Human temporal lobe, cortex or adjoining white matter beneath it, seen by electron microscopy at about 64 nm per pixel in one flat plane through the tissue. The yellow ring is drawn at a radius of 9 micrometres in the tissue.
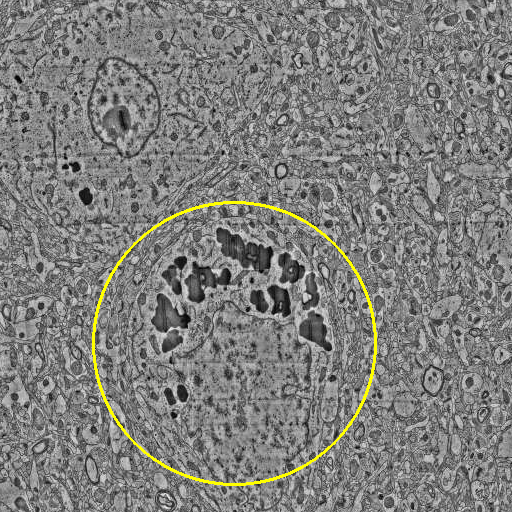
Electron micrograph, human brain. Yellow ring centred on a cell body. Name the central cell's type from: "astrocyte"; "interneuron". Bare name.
interneuron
